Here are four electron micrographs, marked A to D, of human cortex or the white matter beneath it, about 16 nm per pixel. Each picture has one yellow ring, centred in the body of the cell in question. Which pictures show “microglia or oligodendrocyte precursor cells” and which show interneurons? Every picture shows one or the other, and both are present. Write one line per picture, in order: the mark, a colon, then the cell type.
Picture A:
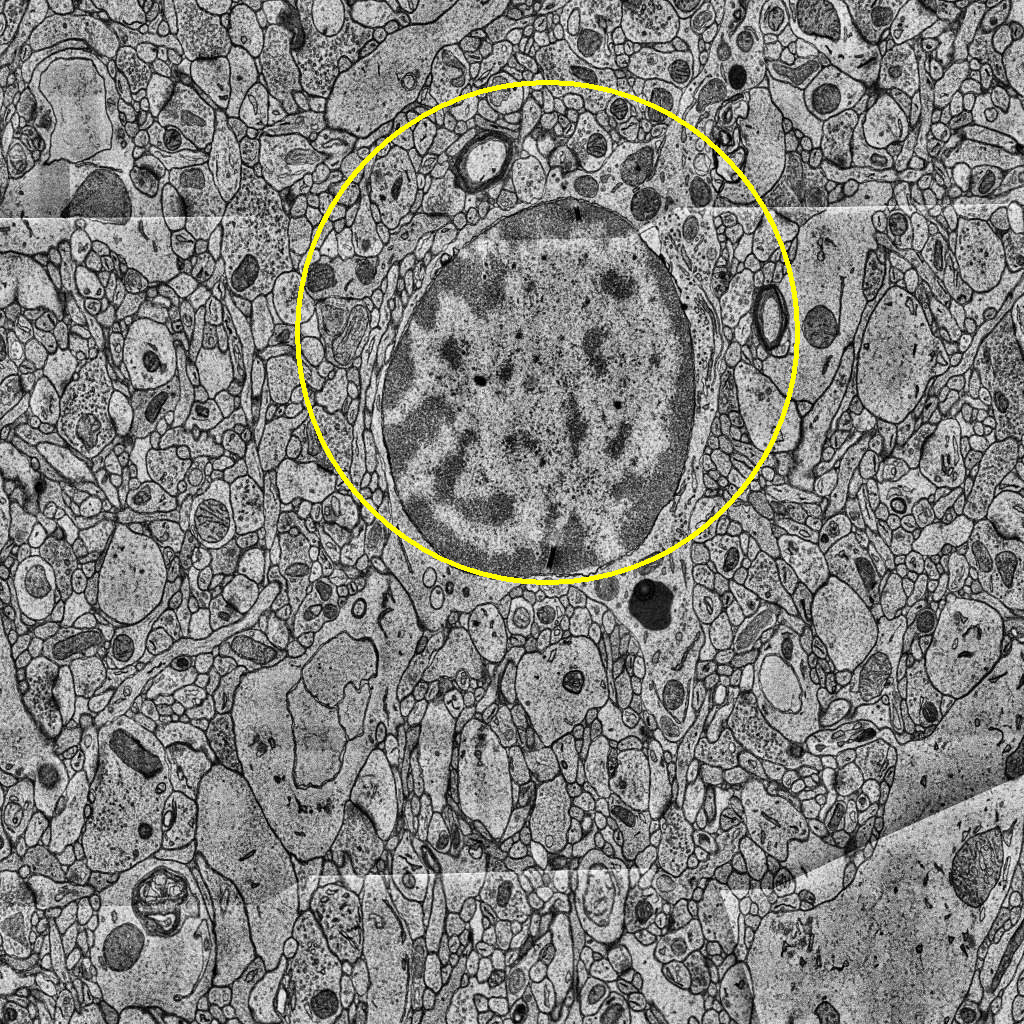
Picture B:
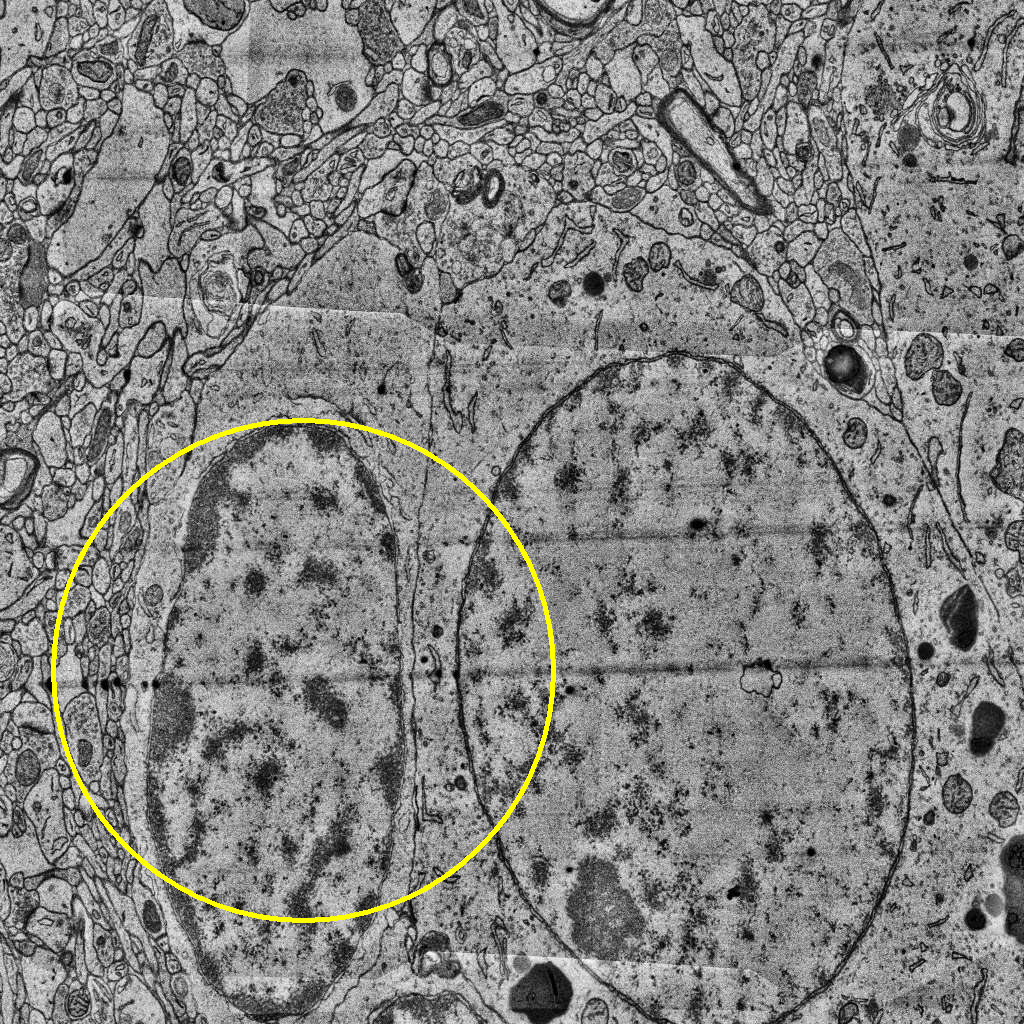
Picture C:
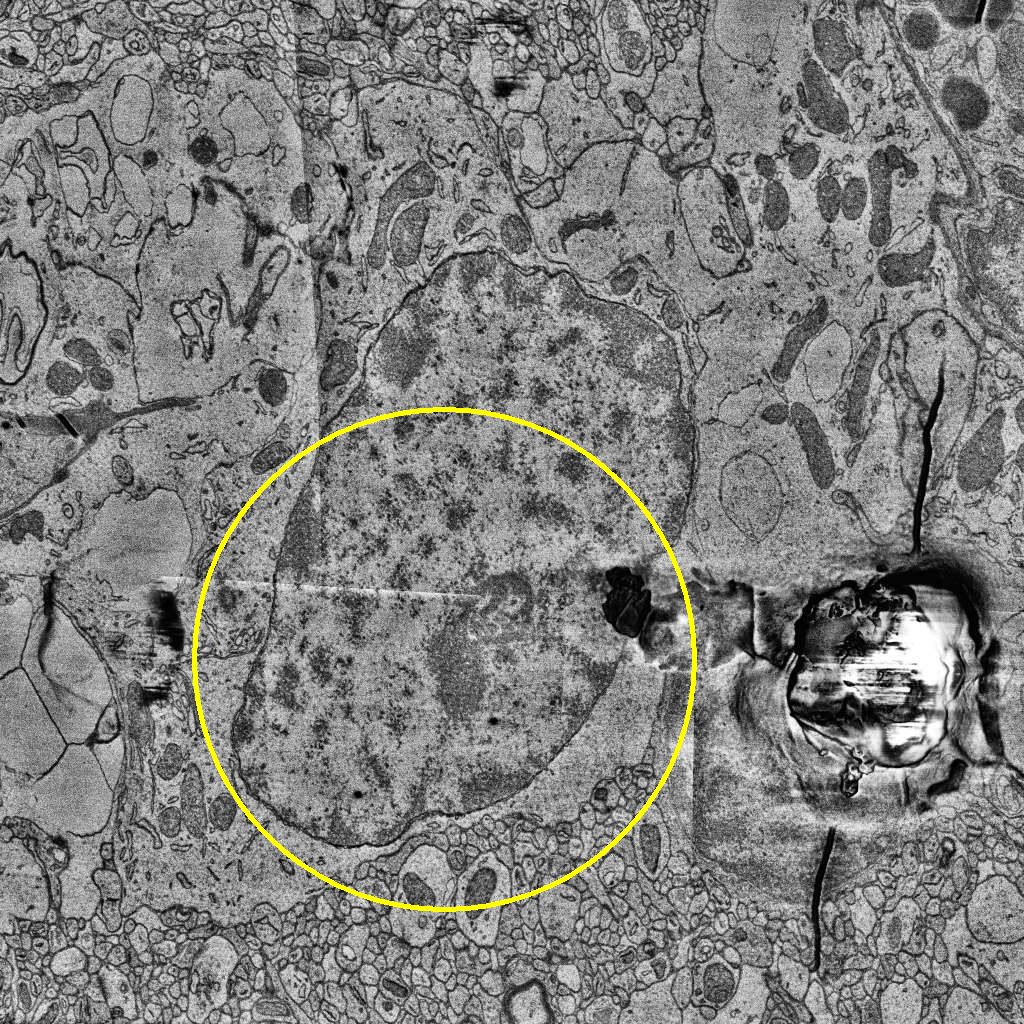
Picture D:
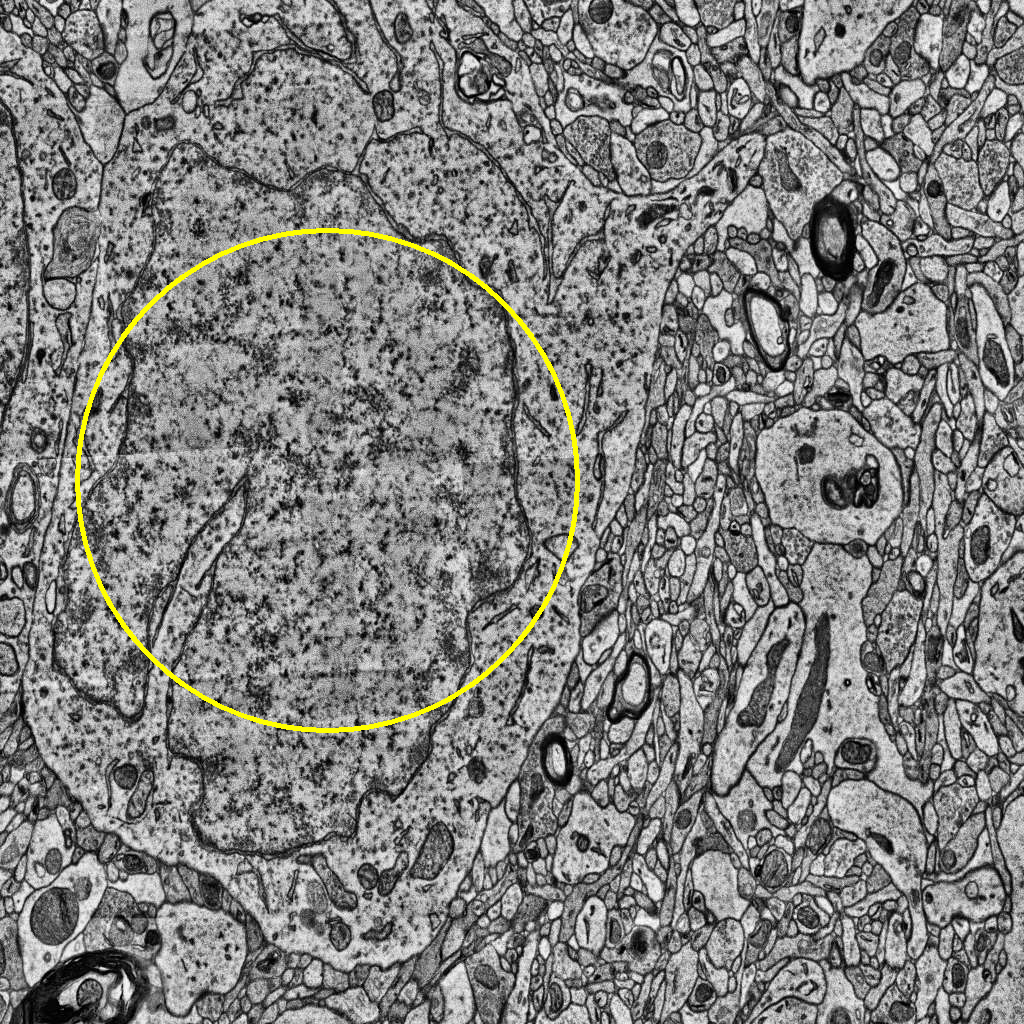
A: microglia or oligodendrocyte precursor cell
B: microglia or oligodendrocyte precursor cell
C: microglia or oligodendrocyte precursor cell
D: interneuron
